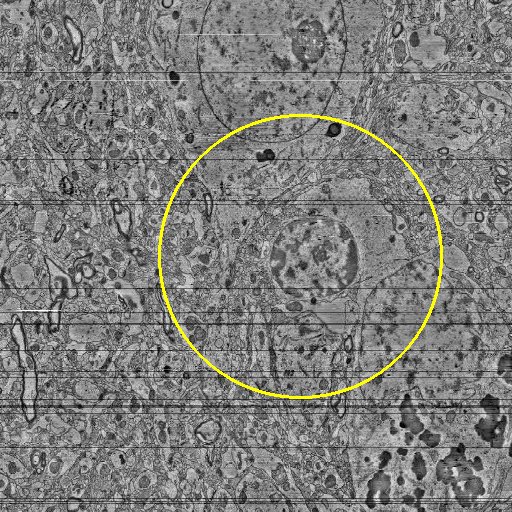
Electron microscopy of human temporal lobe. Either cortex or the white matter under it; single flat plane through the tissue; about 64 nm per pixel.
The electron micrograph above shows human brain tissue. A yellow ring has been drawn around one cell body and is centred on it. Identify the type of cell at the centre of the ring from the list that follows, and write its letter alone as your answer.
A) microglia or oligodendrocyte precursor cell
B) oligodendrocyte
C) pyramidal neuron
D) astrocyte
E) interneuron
A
